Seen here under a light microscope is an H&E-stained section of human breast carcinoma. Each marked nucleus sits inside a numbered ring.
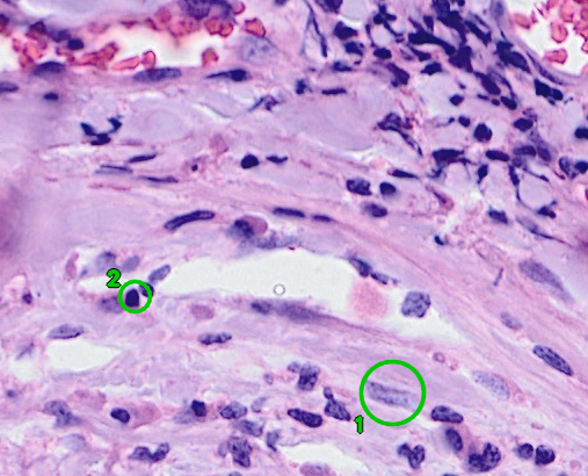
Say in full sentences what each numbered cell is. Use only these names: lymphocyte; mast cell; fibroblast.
Cell 1 is a fibroblast and cell 2 is a lymphocyte.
